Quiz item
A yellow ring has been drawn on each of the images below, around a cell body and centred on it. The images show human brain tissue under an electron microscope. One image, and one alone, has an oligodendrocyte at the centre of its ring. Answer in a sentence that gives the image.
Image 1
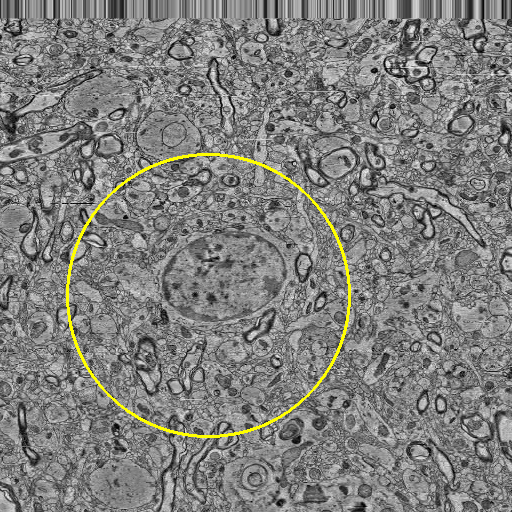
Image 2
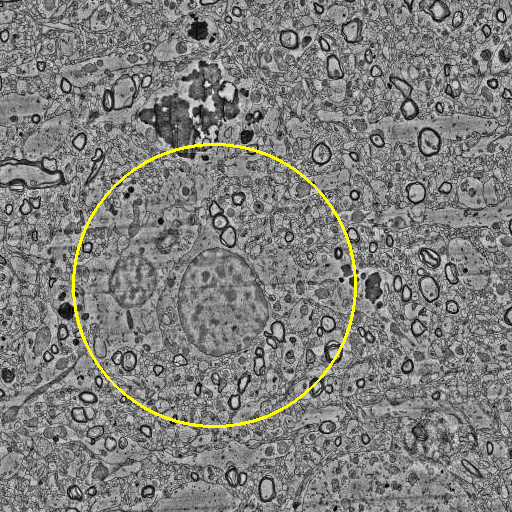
Image 2 shows it at the centre of the ring.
